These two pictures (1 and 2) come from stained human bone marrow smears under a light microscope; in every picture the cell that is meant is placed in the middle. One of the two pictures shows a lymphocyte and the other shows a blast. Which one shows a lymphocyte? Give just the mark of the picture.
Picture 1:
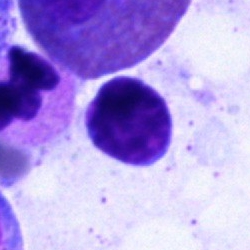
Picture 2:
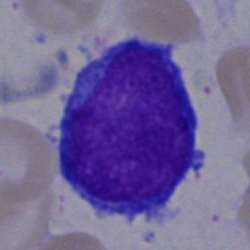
1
